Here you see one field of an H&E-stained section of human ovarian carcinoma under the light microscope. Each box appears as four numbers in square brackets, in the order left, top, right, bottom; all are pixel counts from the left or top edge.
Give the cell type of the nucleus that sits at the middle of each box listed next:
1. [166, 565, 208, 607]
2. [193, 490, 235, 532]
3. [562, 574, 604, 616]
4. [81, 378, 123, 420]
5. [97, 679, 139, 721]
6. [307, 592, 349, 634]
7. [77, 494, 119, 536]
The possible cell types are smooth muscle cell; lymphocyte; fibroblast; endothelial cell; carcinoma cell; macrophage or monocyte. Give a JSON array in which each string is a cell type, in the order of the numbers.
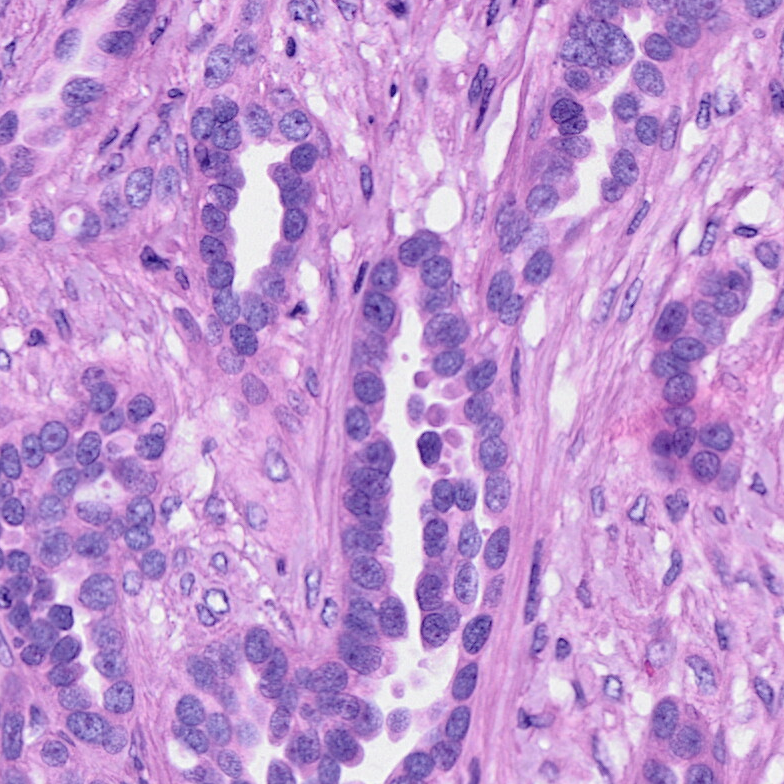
["fibroblast", "fibroblast", "fibroblast", "carcinoma cell", "carcinoma cell", "fibroblast", "carcinoma cell"]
